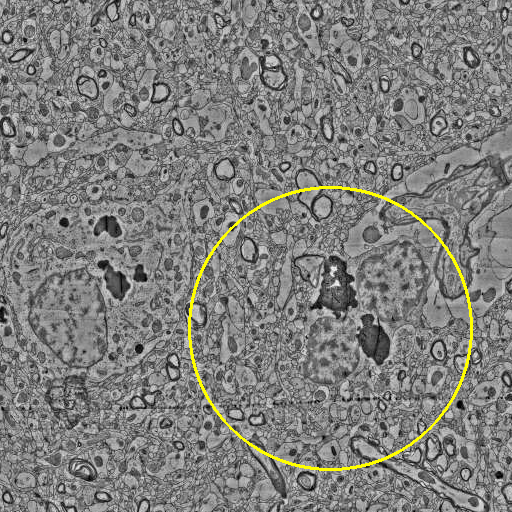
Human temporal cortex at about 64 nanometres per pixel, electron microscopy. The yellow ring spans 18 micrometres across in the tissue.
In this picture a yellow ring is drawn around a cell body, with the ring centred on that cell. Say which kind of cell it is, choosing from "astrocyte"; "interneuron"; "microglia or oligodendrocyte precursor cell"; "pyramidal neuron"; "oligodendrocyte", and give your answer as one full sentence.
Here it is an oligodendrocyte that sits at the centre of the drawn yellow ring.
